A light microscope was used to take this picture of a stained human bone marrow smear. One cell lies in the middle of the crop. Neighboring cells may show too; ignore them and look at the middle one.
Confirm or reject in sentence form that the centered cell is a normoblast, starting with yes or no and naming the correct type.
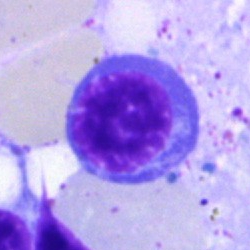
Yes, the cell found in the middle is a normoblast.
